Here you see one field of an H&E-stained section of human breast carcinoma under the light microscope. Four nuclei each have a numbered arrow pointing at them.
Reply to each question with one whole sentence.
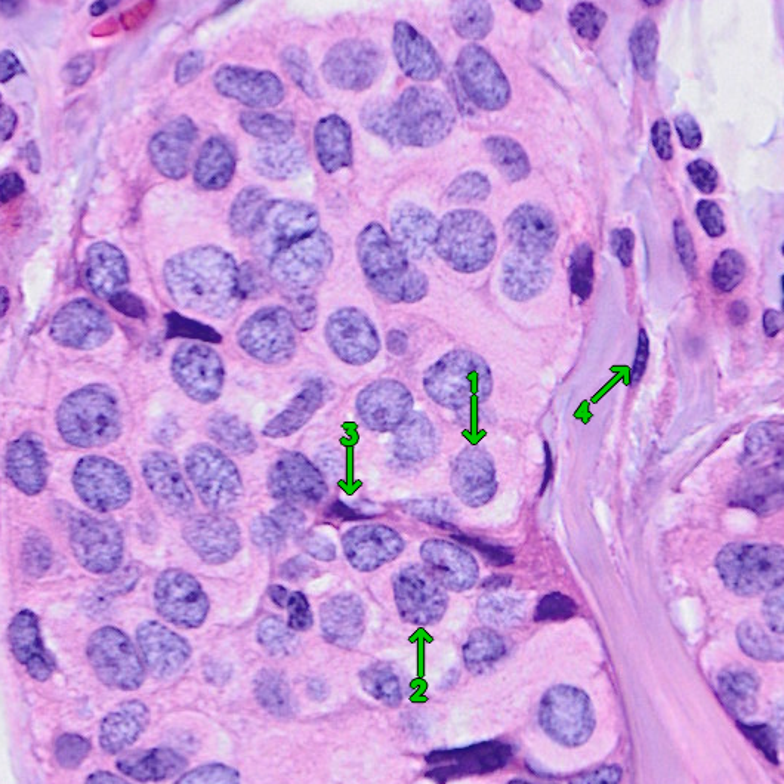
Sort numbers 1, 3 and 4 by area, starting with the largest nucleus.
The nuclei rank 1, 3, 4, from largest to smallest.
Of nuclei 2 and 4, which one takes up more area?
At about 4 times the area of nucleus 4, nucleus 2 is the larger of the two.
